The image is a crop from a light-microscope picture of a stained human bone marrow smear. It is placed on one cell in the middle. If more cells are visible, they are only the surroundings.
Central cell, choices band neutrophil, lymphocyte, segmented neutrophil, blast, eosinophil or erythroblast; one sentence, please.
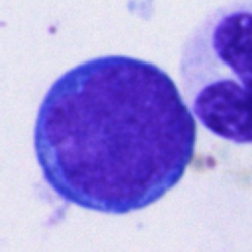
The cell sitting right in the middle is a blast.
